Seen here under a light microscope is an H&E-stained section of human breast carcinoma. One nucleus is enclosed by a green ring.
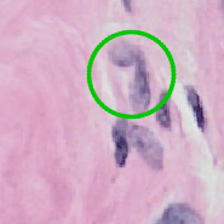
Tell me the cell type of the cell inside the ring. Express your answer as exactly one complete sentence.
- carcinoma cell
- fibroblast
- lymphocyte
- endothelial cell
In cellular terms, the cell inside the ring is an endothelial cell.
